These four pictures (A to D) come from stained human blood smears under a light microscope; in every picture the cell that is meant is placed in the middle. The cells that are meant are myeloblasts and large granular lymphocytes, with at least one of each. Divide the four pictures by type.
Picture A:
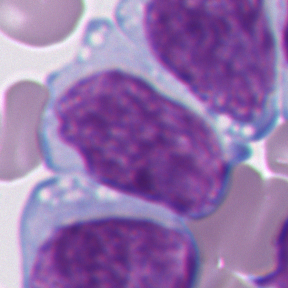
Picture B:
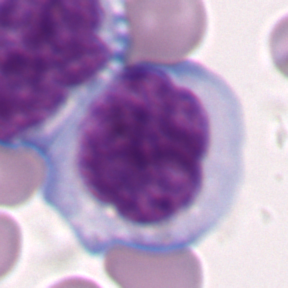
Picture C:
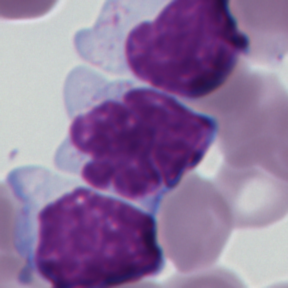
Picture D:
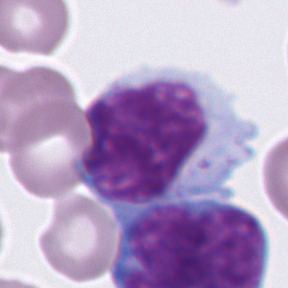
A: myeloblast
B: myeloblast
C: large granular lymphocyte
D: large granular lymphocyte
